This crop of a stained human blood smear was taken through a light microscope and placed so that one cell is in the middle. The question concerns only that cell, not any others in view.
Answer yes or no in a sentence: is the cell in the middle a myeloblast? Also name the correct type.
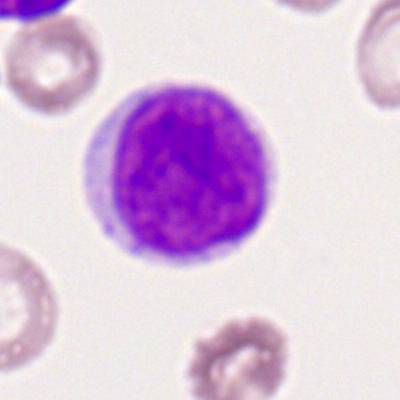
Yes, the cell found in the middle is a myeloblast.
